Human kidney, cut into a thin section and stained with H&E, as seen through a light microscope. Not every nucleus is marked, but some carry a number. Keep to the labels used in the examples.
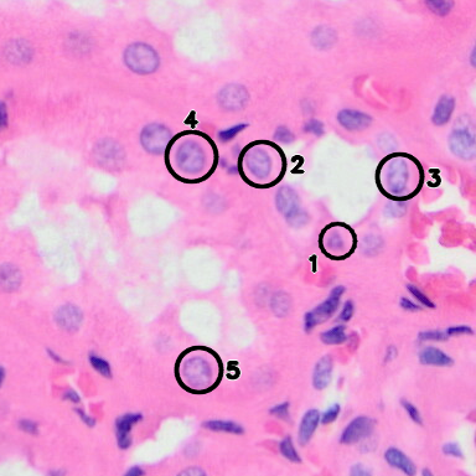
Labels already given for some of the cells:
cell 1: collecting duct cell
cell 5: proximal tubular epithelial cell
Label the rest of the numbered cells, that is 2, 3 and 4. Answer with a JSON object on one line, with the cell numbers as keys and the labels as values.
{"2": "collecting duct cell", "3": "collecting duct cell", "4": "proximal tubular epithelial cell"}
